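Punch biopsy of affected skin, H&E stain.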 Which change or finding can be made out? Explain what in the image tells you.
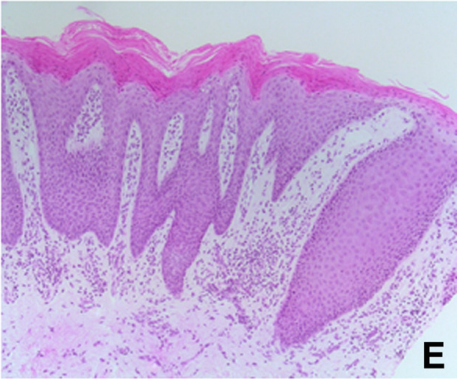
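Long, slender epidermal downgrowths extend deep into the dermis. The downgrowths are far longer than the thickness of the overlying epidermis. That points to this answer: elongation of the rete ridges.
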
